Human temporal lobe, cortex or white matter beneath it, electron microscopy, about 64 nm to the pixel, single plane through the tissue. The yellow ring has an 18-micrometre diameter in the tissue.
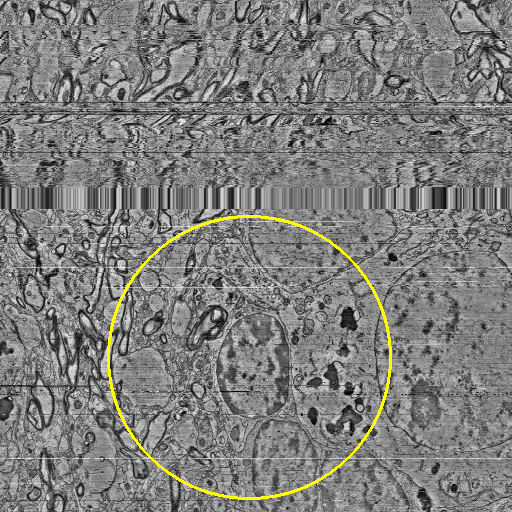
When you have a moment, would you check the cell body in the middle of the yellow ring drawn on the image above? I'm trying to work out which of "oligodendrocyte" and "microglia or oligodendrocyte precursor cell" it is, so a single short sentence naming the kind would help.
This cell body belongs to a microglial cell or oligodendrocyte precursor cell.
